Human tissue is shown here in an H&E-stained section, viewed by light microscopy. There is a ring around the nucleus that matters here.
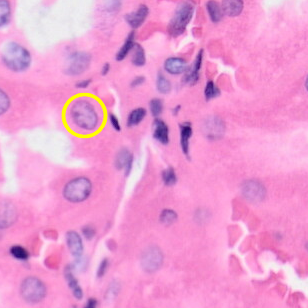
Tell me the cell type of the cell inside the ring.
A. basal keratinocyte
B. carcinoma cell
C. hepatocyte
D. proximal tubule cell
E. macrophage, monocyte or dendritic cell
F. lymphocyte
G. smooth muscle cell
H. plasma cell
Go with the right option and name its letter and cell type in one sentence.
Option D is right, and the cell inside the ring is a proximal tubule cell.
